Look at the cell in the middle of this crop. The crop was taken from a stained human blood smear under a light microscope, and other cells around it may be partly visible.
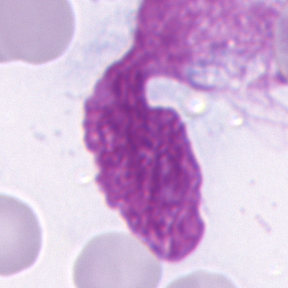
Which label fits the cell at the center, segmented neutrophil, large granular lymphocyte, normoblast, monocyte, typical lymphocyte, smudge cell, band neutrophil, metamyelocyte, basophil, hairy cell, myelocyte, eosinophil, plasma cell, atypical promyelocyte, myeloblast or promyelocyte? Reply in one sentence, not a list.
Classification of the middle cell gives a smudge cell.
